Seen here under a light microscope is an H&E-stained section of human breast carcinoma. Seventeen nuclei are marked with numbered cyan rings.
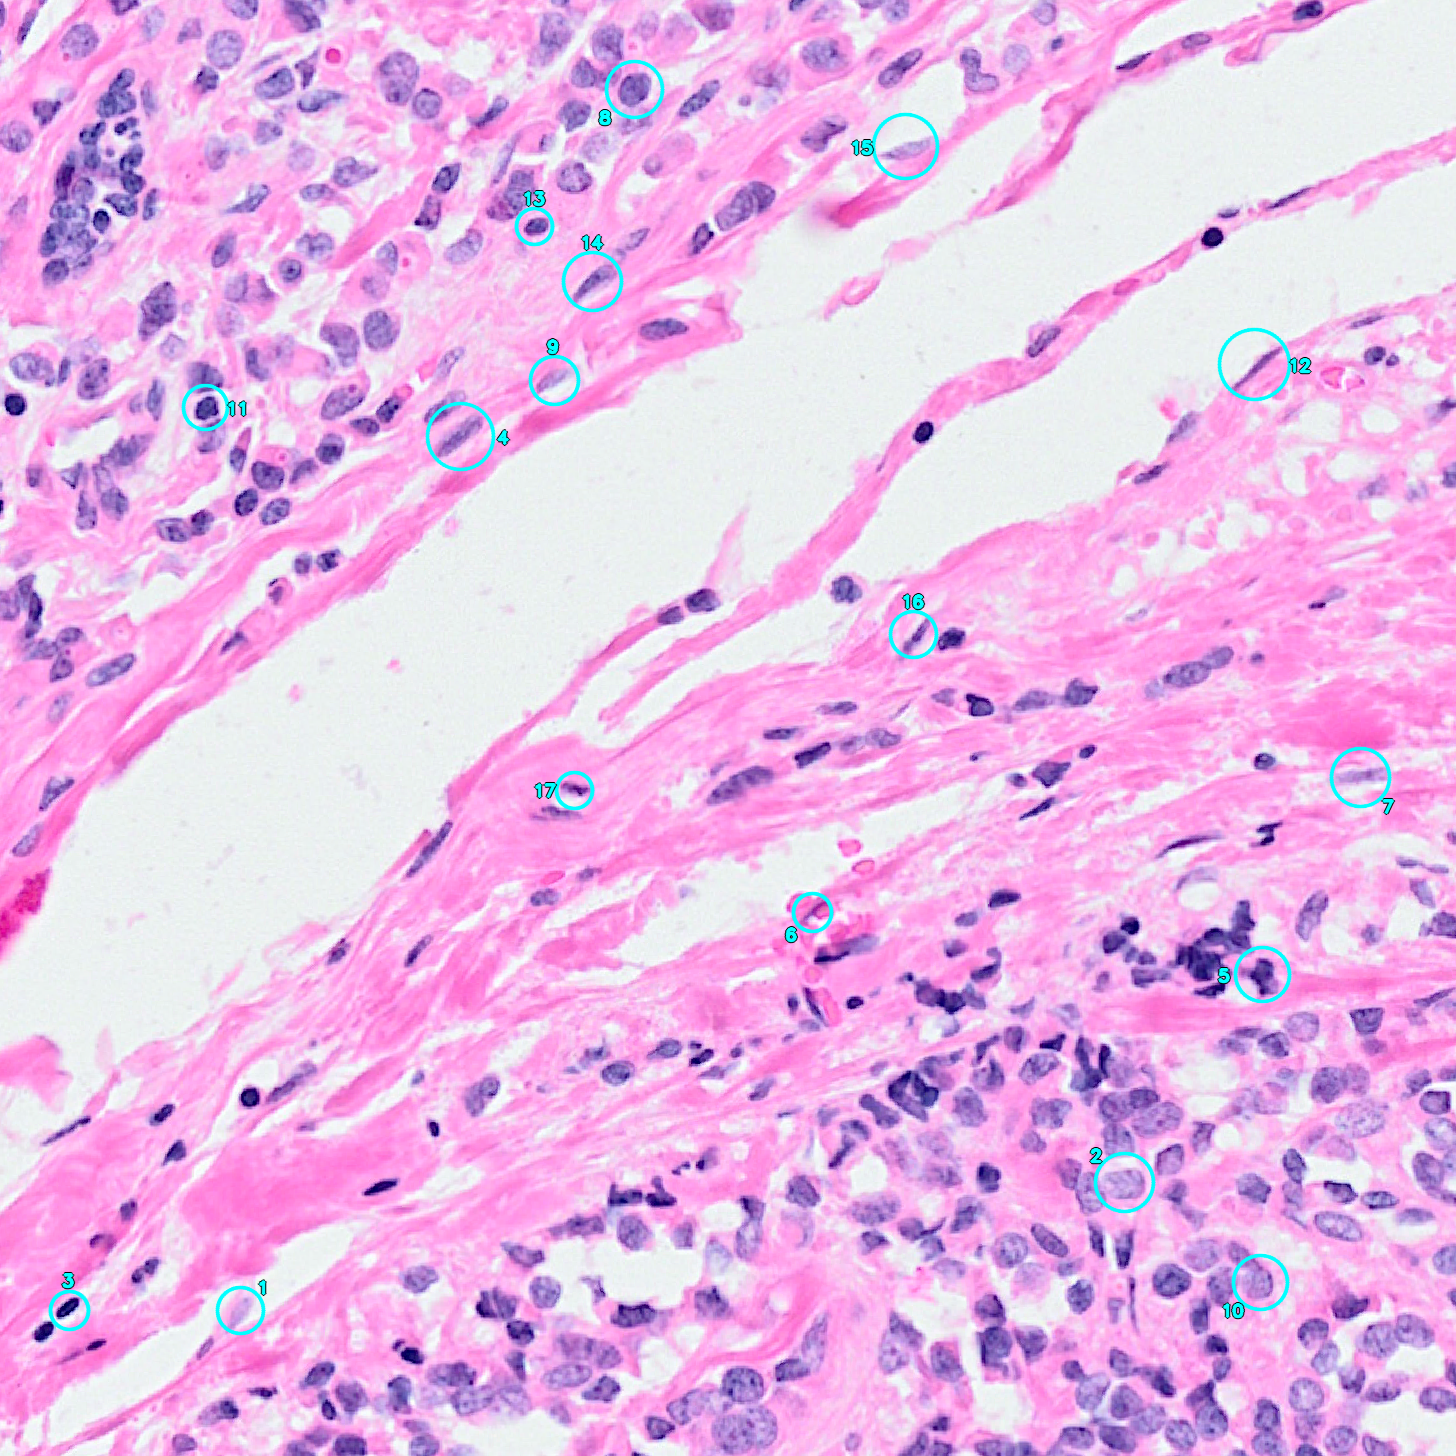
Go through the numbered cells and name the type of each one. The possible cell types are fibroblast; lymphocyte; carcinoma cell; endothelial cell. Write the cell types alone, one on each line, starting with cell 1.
fibroblast
carcinoma cell
lymphocyte
fibroblast
carcinoma cell
endothelial cell
fibroblast
carcinoma cell
fibroblast
carcinoma cell
lymphocyte
fibroblast
lymphocyte
fibroblast
fibroblast
fibroblast
endothelial cell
